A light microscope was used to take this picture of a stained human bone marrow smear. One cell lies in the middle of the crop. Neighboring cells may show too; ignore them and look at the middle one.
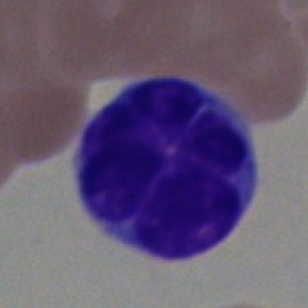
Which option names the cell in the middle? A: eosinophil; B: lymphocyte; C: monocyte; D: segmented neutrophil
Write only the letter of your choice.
B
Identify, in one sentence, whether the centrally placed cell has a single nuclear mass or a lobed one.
Rather than a single mass, the nucleus forms two or more lobes.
